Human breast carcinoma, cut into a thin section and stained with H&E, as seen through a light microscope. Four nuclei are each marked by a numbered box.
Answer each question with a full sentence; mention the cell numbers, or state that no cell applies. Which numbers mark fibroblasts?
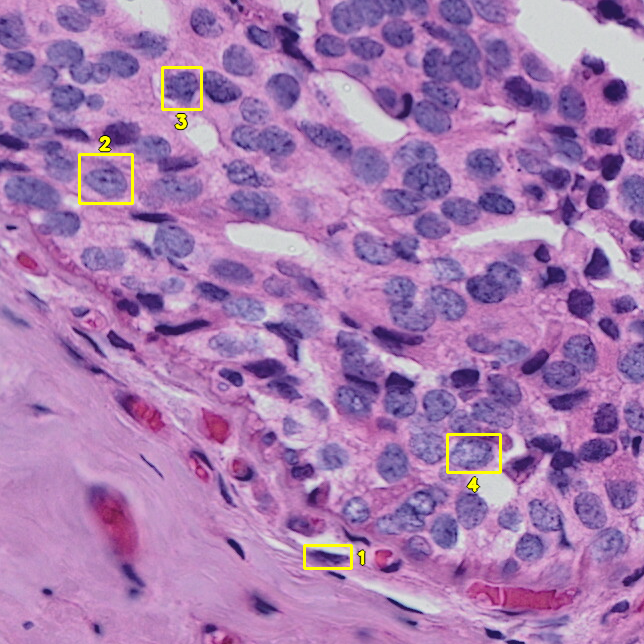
Mind that only cell 1 is a fibroblast, none of the rest.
